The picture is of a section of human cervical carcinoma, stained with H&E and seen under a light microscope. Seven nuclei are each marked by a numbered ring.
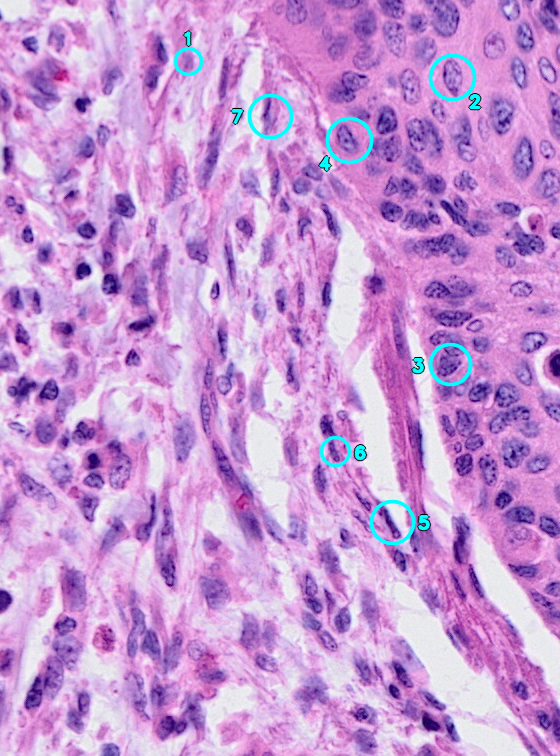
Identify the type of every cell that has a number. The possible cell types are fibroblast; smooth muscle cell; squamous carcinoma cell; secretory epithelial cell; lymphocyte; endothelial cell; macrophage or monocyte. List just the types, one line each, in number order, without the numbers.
fibroblast
squamous carcinoma cell
squamous carcinoma cell
squamous carcinoma cell
fibroblast
fibroblast
fibroblast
